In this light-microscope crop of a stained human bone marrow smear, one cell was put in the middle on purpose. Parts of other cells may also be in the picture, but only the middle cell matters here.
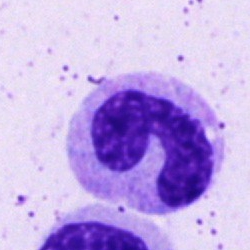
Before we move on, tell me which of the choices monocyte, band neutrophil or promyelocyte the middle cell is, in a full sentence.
The central cell in this smear crop is a band neutrophil.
